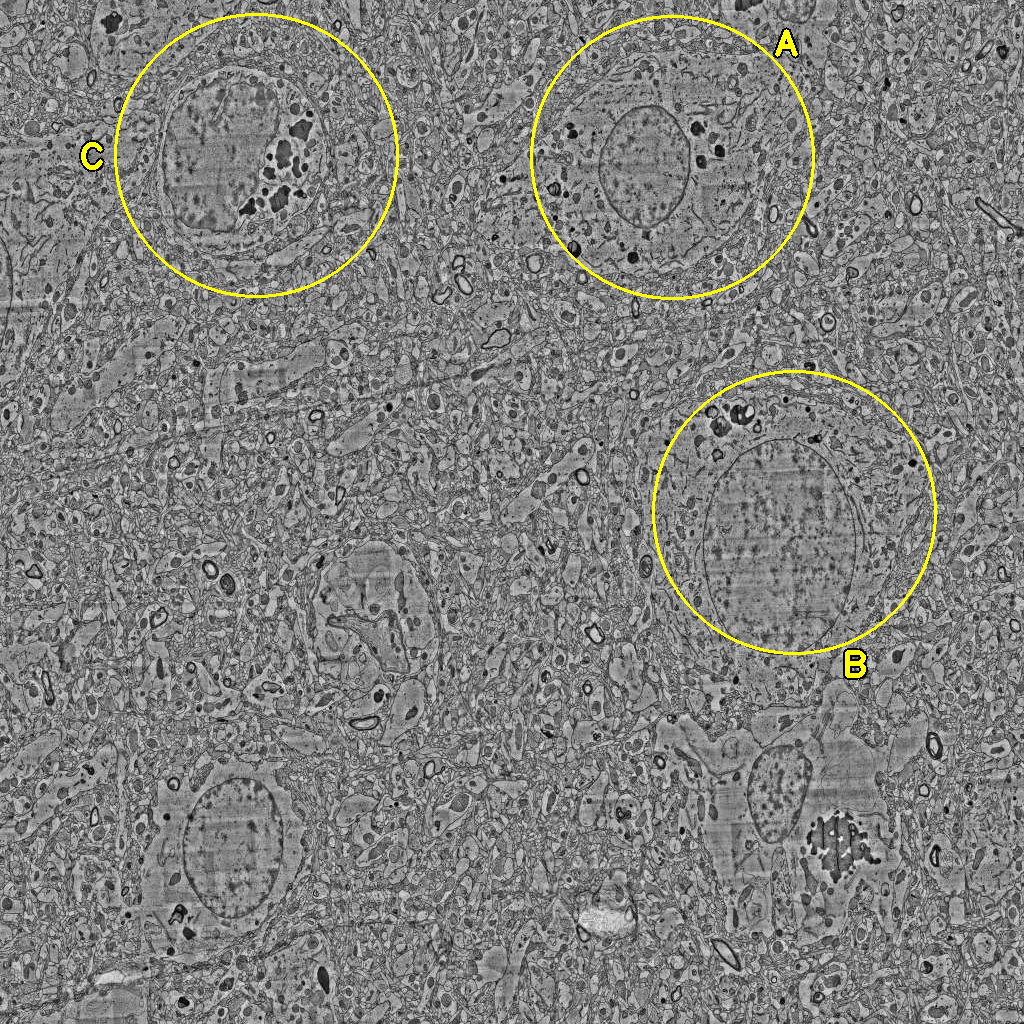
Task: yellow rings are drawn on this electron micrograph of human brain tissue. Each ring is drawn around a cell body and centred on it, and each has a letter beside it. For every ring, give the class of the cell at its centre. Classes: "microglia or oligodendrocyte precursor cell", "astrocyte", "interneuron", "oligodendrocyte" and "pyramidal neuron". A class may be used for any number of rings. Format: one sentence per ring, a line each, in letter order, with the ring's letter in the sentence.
The cell ringed as A is a pyramidal neuron.
The cell ringed as B is a pyramidal neuron.
The cell ringed as C is an interneuron.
